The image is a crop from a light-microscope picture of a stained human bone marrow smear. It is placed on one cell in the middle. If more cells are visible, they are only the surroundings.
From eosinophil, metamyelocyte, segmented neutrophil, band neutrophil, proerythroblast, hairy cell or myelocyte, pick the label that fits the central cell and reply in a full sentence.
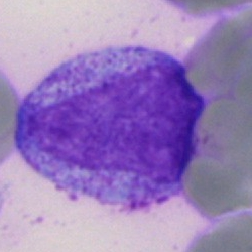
Positioned in the middle of the crop is a myelocyte.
